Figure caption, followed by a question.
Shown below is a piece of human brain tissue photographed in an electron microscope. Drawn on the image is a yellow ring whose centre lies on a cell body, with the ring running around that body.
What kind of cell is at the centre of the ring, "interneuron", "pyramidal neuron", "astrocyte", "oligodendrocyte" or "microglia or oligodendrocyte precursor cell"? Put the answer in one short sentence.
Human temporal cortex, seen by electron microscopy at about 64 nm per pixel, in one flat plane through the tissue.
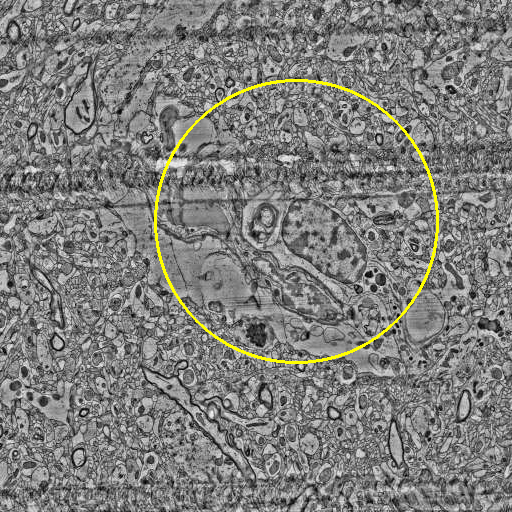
The ring marks the cell body of a microglial cell or oligodendrocyte precursor cell.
